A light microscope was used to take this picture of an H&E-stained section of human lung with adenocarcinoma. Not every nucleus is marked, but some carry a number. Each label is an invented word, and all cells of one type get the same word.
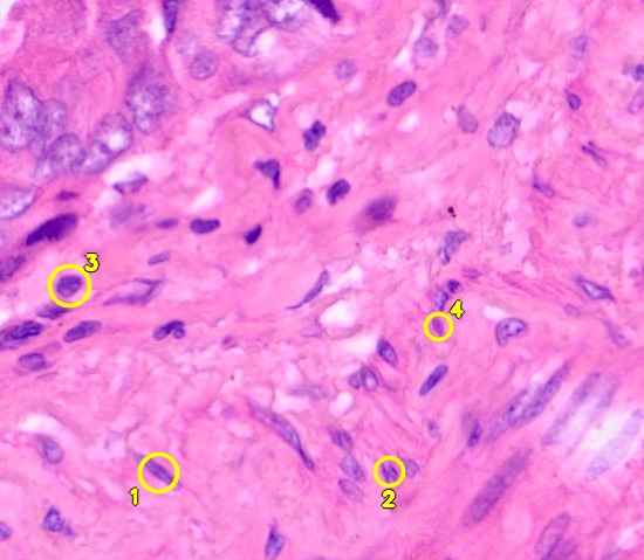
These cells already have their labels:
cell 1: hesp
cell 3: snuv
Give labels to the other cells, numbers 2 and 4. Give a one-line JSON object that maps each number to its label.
{"2": "hesp", "4": "hesp"}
